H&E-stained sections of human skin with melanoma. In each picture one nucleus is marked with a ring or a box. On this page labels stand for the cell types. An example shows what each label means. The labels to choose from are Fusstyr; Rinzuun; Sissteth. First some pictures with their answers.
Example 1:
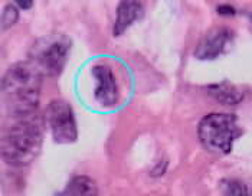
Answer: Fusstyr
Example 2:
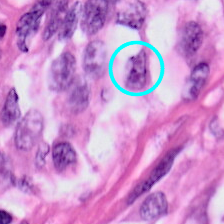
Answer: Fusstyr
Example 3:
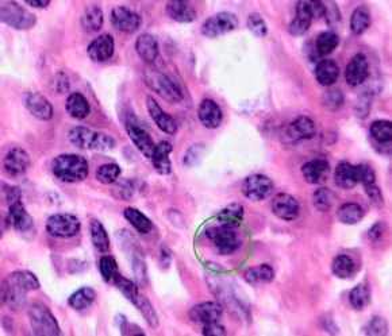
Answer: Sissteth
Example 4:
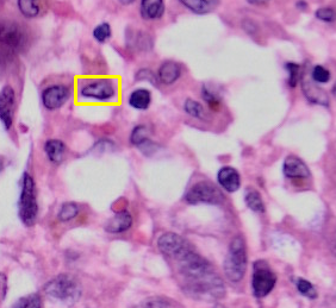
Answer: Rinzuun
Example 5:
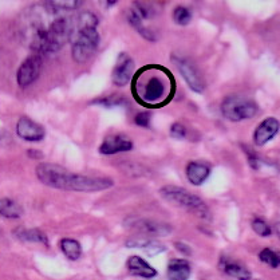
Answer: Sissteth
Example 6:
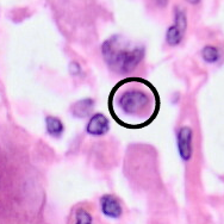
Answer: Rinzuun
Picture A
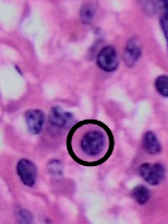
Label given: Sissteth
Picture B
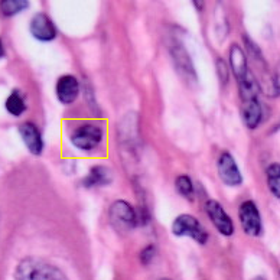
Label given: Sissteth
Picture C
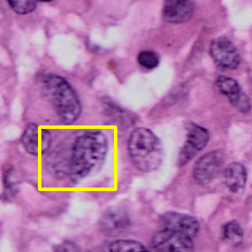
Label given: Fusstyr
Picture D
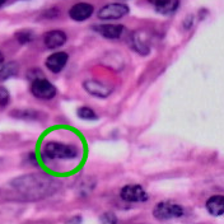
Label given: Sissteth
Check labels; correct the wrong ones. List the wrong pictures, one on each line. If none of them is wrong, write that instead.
All labels are correct.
